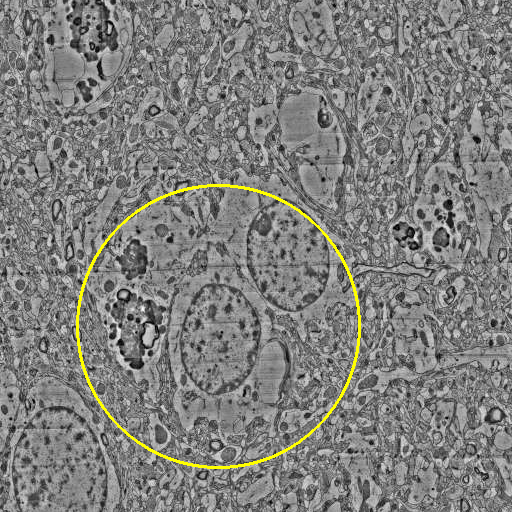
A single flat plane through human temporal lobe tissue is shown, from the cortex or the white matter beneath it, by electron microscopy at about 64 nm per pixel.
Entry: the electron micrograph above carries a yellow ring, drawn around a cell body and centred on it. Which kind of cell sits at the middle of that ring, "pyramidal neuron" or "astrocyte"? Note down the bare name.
astrocyte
